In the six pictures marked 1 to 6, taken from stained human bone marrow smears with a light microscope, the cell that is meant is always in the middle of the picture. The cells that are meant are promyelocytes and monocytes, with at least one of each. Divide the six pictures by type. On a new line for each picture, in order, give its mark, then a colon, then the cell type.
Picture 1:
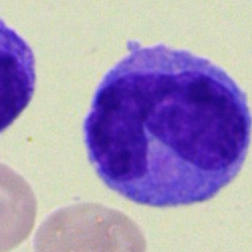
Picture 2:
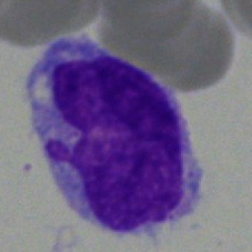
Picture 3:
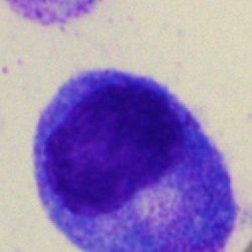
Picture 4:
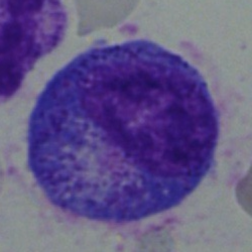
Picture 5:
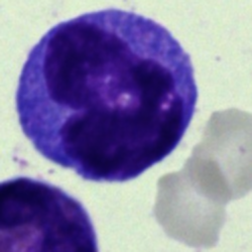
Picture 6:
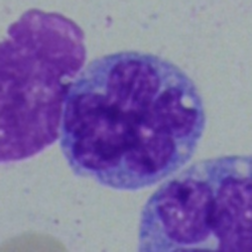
1: monocyte
2: monocyte
3: promyelocyte
4: promyelocyte
5: monocyte
6: monocyte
